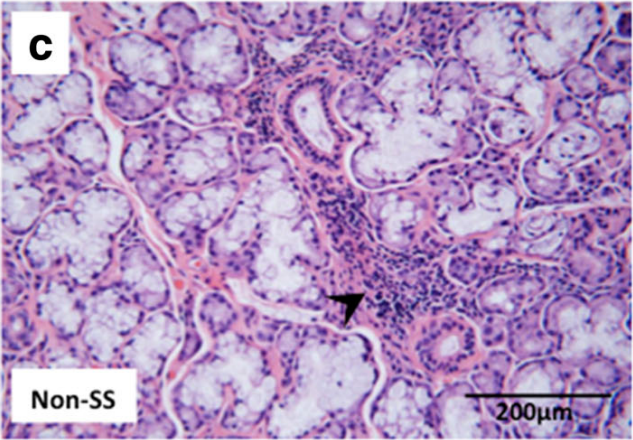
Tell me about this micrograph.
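Minor salivary gland tissue shows mucous acini with pale, foamy cytoplasm and flattened nuclei pressed to the base of the cells, separated by thin pink septa. A small focus of densely packed cells with small, dark round nuclei lies around and beside a duct lined by cuboidal epithelium. The focus is limited in size and the surrounding acini keep their arrangement.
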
